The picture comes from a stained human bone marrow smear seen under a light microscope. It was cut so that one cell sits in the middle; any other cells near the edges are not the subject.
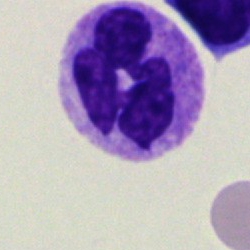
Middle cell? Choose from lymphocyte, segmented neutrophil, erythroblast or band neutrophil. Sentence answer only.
The cell of interest, in the center, is a segmented neutrophil.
